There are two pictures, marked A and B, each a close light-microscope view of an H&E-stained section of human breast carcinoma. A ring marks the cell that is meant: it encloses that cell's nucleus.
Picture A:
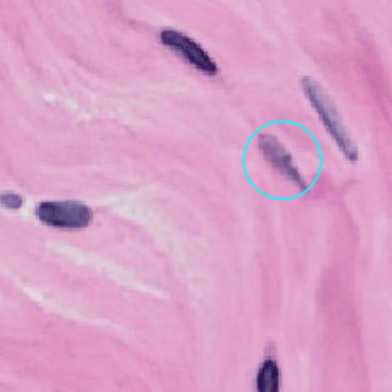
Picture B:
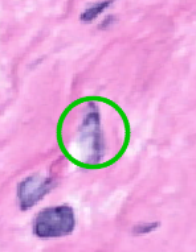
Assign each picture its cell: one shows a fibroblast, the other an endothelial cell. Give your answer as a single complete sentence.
It is picture A that shows a fibroblast, and picture B that shows an endothelial cell.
